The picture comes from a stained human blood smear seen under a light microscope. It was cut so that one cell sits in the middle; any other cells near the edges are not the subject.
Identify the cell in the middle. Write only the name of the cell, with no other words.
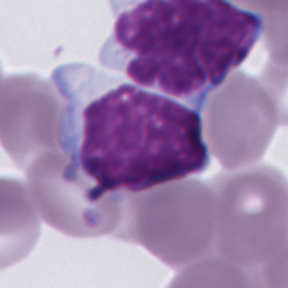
large granular lymphocyte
